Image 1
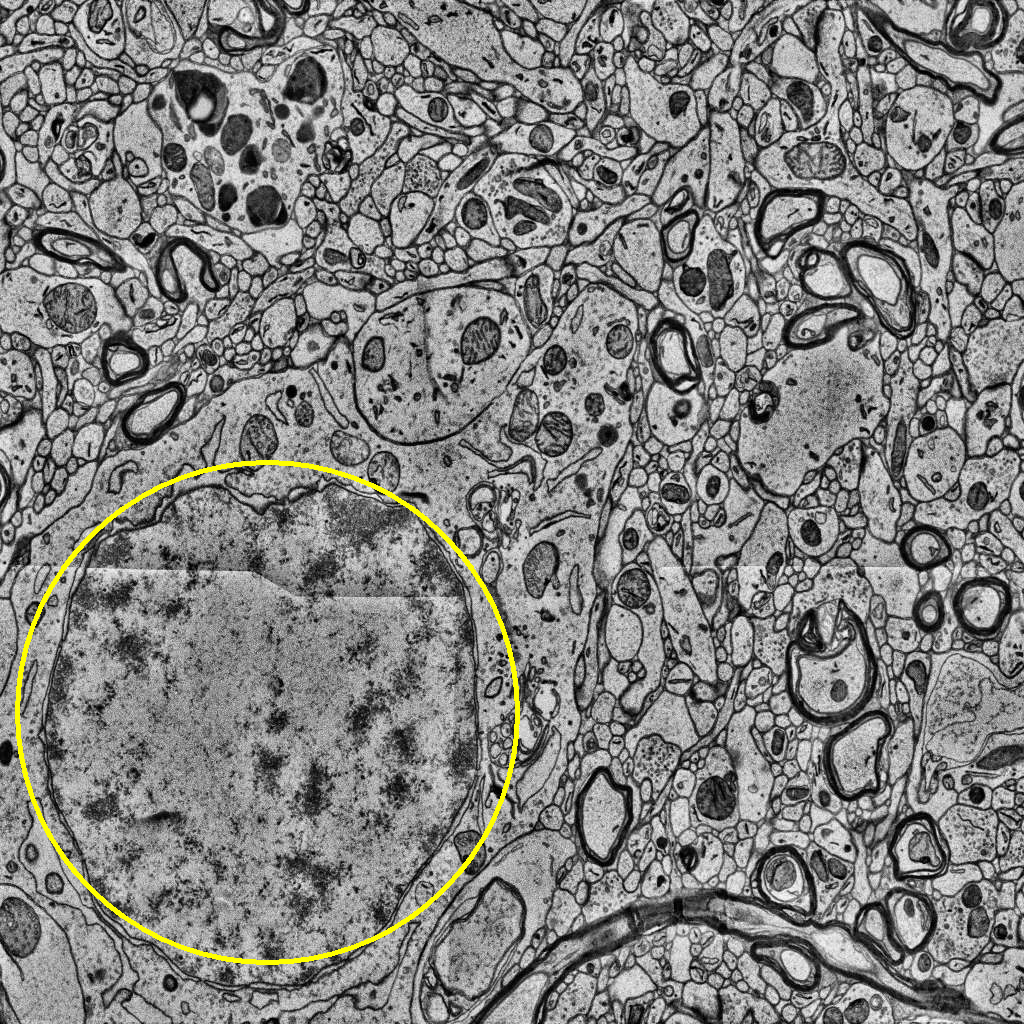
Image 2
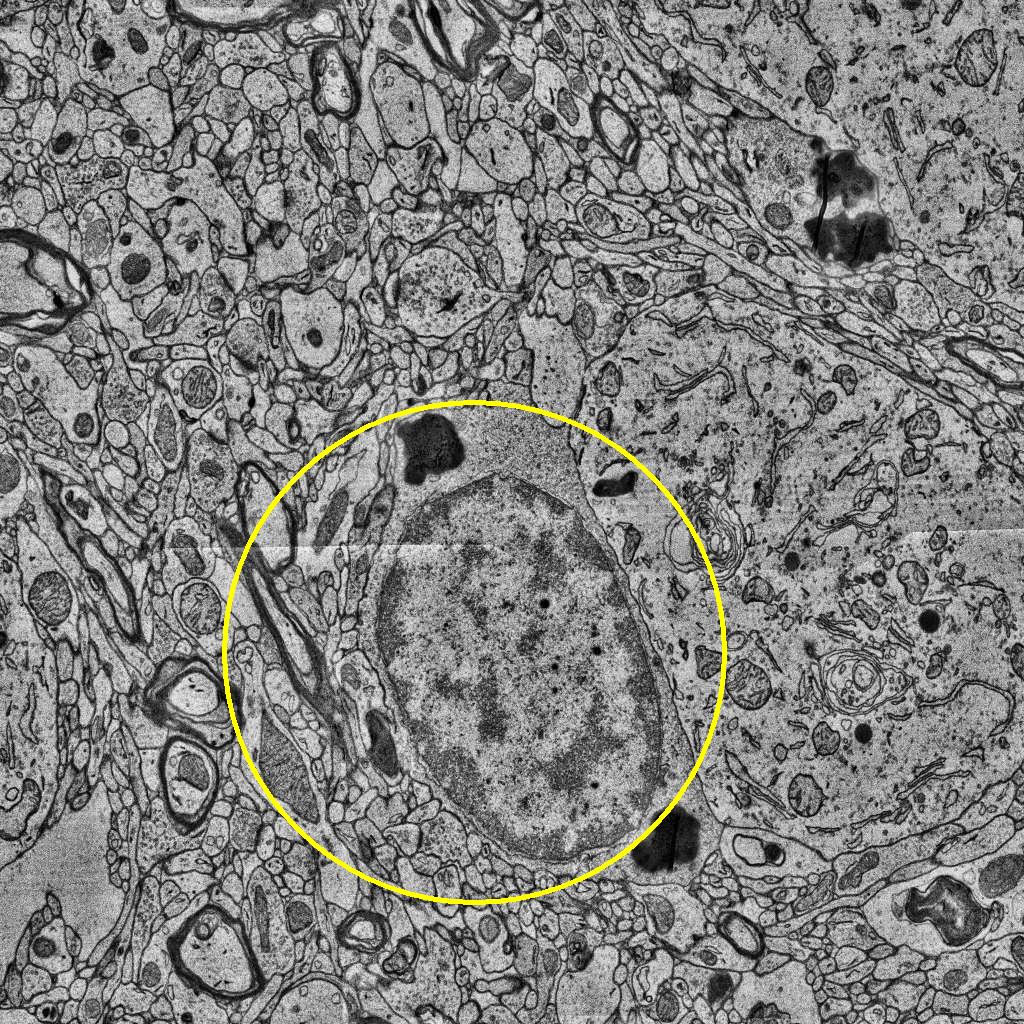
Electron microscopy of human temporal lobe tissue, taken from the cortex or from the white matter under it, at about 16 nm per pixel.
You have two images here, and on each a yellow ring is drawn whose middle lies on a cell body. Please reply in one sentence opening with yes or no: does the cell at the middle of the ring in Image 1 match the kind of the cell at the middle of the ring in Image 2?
No, the two images show cells of two kinds at the centres of their rings.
